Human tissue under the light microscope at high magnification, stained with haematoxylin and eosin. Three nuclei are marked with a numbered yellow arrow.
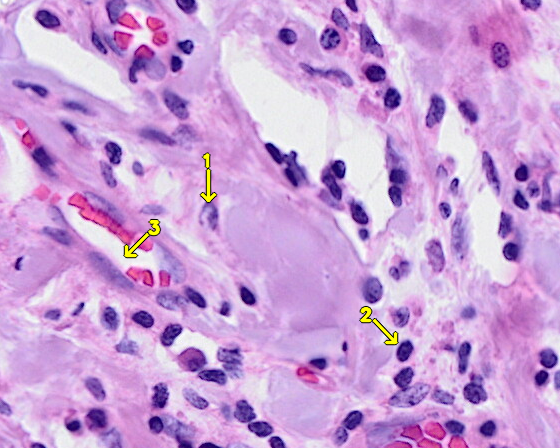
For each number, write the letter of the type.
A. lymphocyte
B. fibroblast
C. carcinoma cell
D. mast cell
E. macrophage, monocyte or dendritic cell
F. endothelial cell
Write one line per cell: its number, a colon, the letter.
1: B
2: A
3: F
